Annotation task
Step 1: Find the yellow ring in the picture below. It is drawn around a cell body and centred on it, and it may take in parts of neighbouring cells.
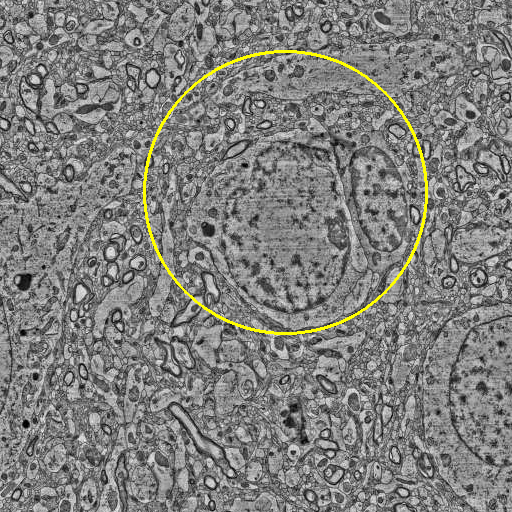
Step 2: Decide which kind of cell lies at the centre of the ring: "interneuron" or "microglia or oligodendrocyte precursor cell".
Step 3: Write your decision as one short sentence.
The kind of cell at the ring's centre is an interneuron.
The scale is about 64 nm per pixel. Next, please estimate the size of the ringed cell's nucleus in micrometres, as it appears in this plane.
The nucleus is approximately 11 micrometers long by 8 micrometers wide in this plane.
